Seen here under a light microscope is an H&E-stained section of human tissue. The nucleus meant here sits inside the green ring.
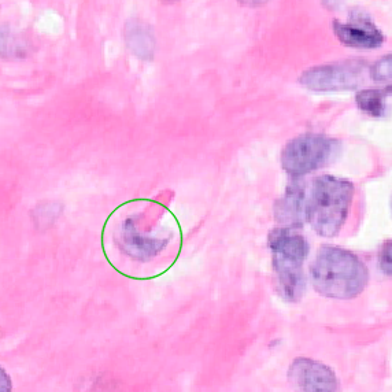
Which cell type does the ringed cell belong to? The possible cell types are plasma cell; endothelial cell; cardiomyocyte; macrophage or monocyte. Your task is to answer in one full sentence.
In short, the ringed cell on this section is an endothelial cell.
